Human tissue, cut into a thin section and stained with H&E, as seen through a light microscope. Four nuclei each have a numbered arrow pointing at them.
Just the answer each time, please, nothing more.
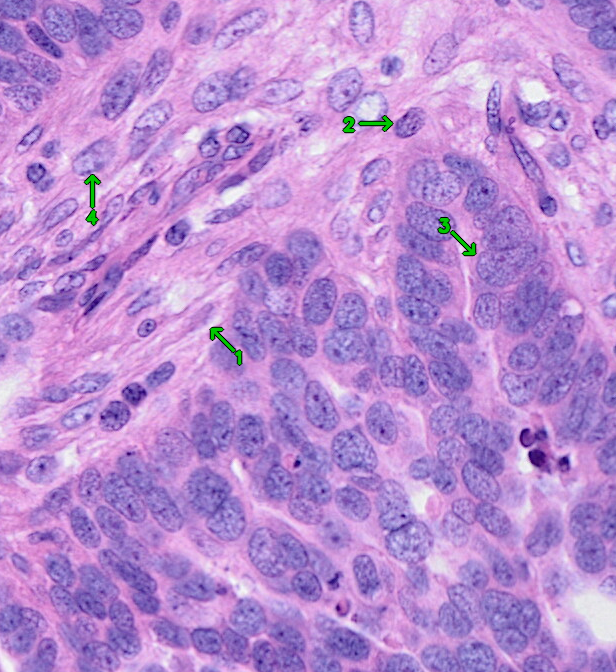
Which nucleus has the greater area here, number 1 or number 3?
3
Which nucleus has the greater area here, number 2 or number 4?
4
